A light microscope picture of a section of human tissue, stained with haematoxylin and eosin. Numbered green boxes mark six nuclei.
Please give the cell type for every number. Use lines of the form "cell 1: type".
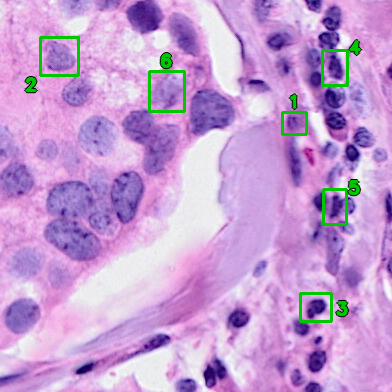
cell 1: endothelial cell
cell 2: carcinoma cell
cell 3: lymphocyte
cell 4: lymphocyte
cell 5: lymphocyte
cell 6: carcinoma cell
